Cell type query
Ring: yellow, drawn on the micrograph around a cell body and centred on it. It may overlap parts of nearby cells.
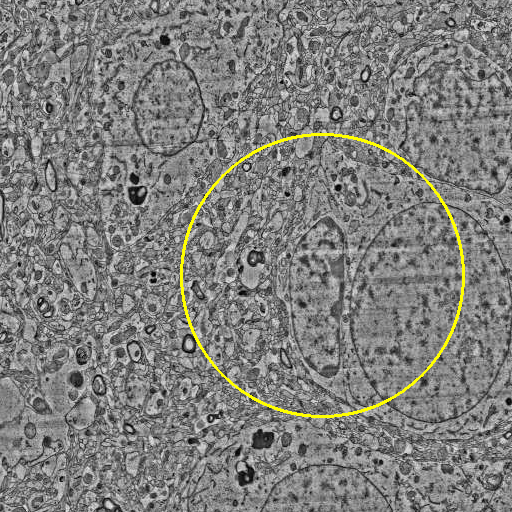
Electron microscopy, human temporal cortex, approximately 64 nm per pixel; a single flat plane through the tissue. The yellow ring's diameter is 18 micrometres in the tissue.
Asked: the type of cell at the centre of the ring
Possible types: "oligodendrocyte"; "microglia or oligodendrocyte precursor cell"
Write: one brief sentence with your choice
The ring marks a microglial cell or oligodendrocyte precursor cell.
